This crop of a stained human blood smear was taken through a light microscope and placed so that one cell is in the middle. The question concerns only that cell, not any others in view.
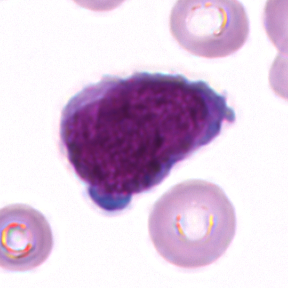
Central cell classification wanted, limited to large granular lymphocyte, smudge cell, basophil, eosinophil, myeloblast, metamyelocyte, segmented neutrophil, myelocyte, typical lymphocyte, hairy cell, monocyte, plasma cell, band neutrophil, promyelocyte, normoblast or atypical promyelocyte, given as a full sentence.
The cell at the central position in this crop is an atypical promyelocyte.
